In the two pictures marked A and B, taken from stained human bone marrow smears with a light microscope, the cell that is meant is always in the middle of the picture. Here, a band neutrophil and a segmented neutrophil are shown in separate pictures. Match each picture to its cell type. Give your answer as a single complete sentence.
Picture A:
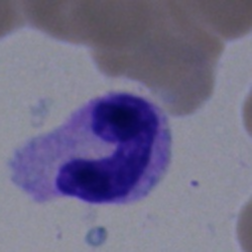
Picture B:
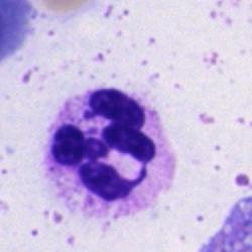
In picture A the cell is a band neutrophil; in picture B, a segmented neutrophil.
